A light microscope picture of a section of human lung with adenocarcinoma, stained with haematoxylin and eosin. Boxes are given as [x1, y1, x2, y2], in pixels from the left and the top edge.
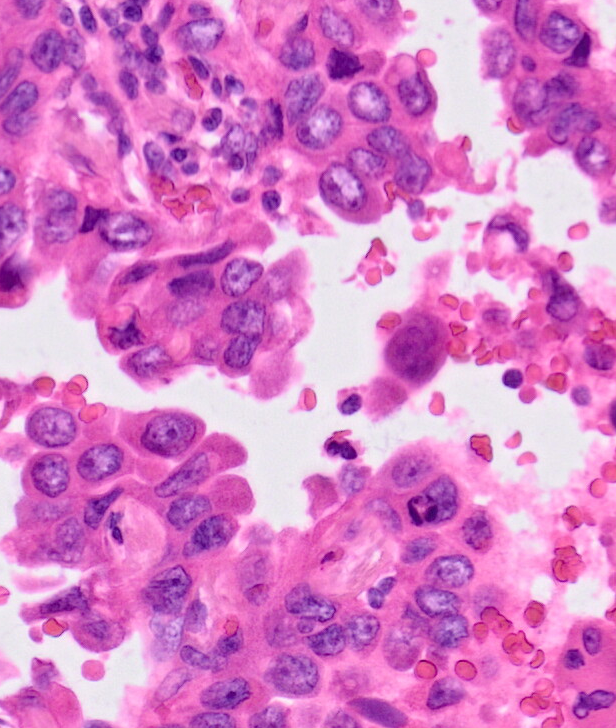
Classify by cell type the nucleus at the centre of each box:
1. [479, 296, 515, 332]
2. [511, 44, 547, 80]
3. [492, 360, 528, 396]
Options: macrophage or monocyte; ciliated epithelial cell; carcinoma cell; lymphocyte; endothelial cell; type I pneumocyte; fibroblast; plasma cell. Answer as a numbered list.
1. macrophage or monocyte
2. carcinoma cell
3. lymphocyte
